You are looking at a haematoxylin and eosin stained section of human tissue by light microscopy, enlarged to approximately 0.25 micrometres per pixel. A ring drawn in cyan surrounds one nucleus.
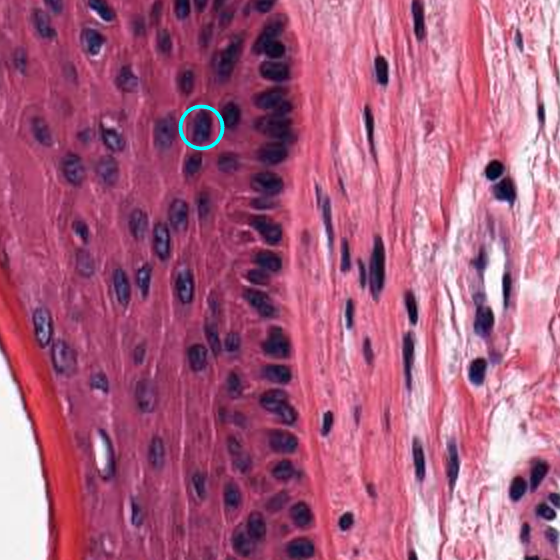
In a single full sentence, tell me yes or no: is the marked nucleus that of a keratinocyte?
Yes, the marked nucleus is contained in a keratinocyte.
